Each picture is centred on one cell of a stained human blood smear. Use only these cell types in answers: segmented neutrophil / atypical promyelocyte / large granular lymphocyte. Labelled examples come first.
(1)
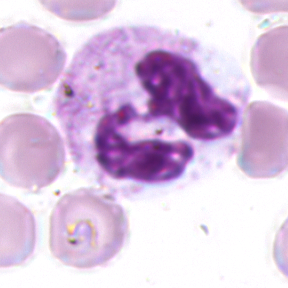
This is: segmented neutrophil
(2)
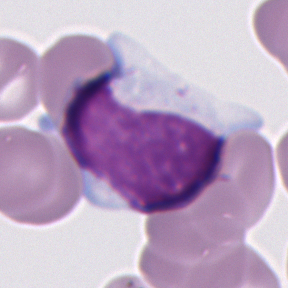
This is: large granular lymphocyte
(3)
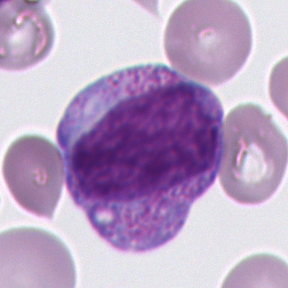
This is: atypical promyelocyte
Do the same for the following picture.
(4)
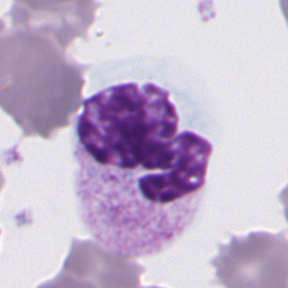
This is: segmented neutrophil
